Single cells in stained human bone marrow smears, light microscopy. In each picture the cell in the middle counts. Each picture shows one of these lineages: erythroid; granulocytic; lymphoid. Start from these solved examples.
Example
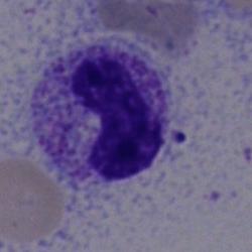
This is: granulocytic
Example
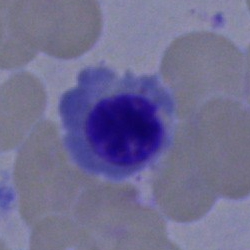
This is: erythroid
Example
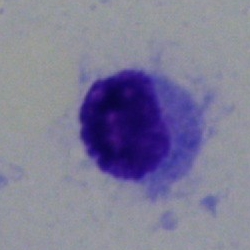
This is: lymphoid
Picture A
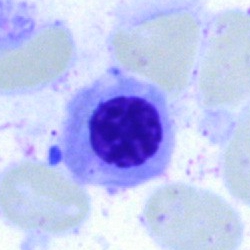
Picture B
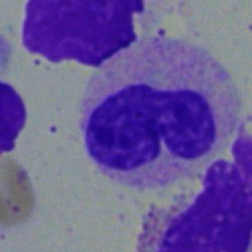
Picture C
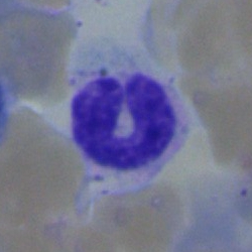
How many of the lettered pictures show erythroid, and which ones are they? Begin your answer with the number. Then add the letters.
Count: 1 (A)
